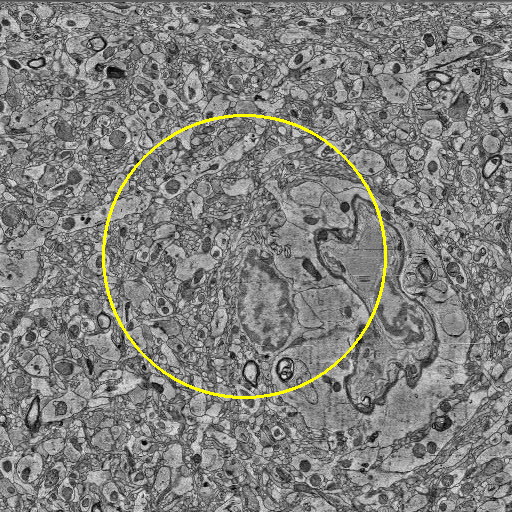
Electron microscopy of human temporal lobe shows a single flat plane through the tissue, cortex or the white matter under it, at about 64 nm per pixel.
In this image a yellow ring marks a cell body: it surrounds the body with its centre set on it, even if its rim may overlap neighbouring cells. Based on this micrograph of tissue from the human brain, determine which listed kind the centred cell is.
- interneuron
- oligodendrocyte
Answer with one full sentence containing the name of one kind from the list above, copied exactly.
It is an oligodendrocyte whose body the yellow ring encloses at its centre.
